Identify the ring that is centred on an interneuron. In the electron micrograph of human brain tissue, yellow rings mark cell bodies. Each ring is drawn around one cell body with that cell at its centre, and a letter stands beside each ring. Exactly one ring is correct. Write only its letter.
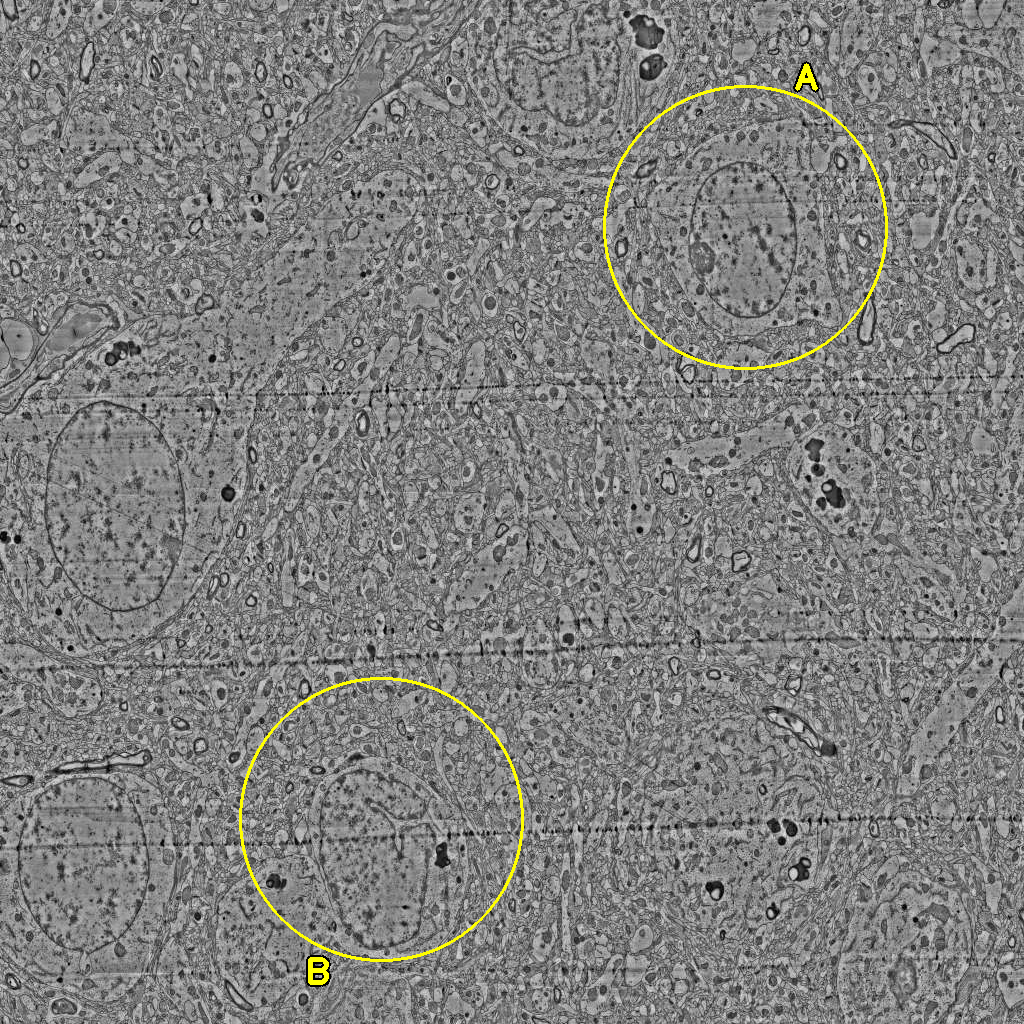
B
